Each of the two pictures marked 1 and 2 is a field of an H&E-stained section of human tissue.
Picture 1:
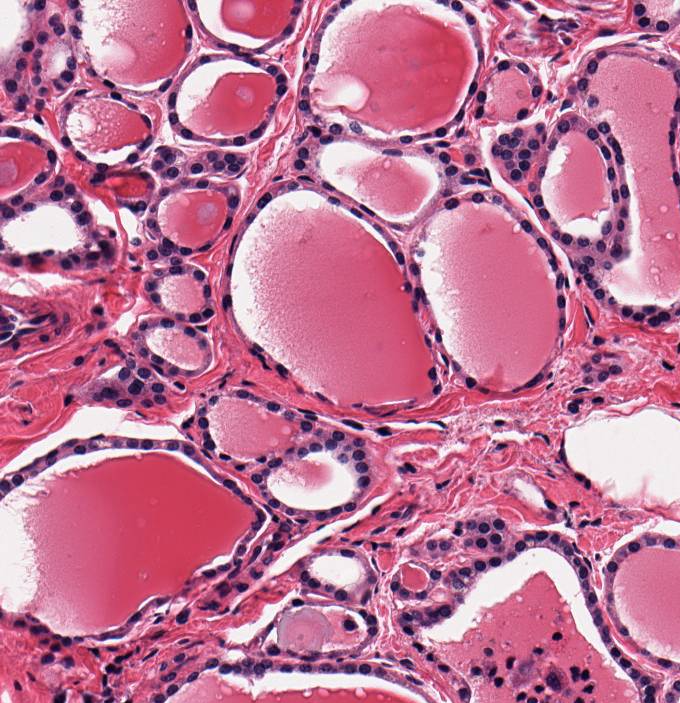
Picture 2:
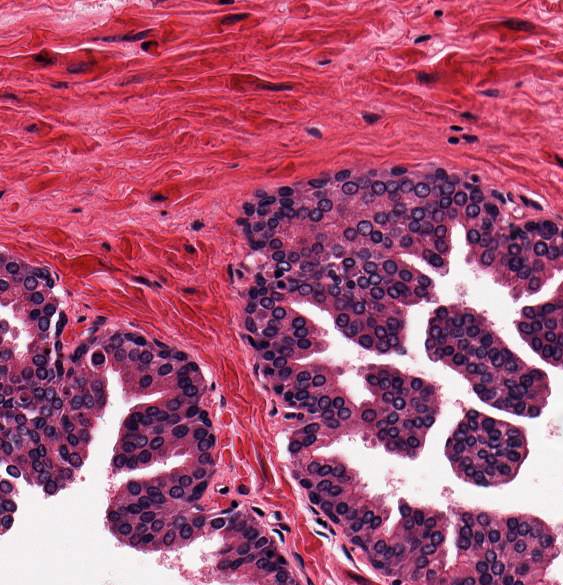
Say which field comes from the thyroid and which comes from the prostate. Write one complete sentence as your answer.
Picture 1 comes from the thyroid and picture 2 comes from the prostate.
